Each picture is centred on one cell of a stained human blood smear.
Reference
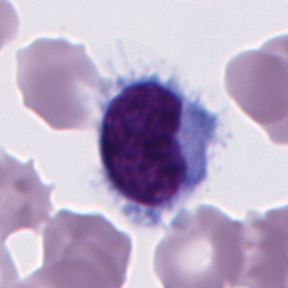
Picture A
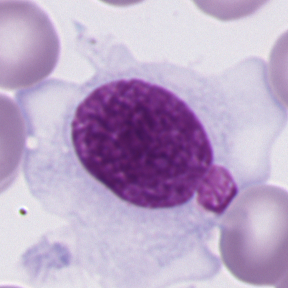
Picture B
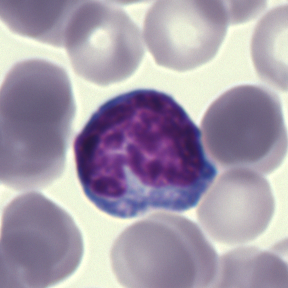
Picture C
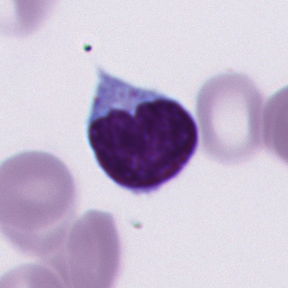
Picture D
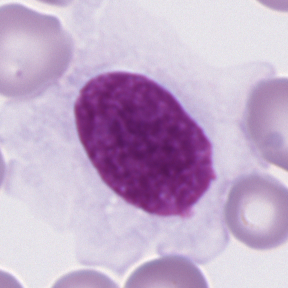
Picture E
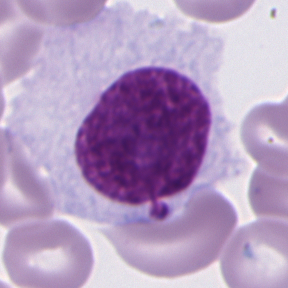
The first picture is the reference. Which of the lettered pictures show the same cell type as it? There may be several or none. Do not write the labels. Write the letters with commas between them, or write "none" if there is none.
A, D, E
